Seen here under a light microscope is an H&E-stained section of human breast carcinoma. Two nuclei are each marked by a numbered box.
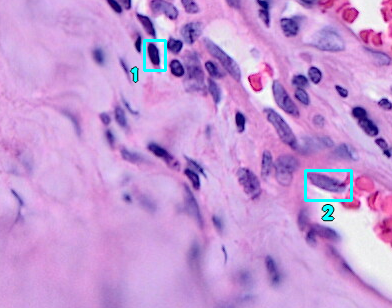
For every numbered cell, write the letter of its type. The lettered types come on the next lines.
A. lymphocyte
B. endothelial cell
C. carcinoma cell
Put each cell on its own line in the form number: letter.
1: A
2: B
